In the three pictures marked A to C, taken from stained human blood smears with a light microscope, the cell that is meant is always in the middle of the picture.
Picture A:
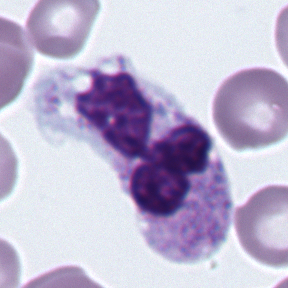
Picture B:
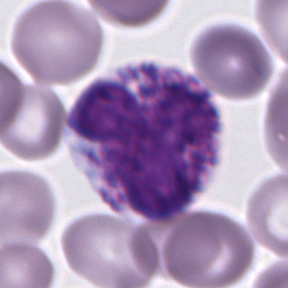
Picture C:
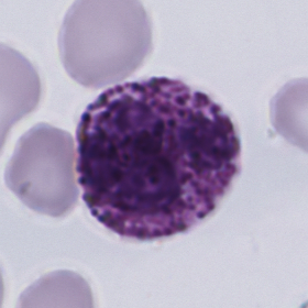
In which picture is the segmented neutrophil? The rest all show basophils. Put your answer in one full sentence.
The segmented neutrophil is the one in picture A.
